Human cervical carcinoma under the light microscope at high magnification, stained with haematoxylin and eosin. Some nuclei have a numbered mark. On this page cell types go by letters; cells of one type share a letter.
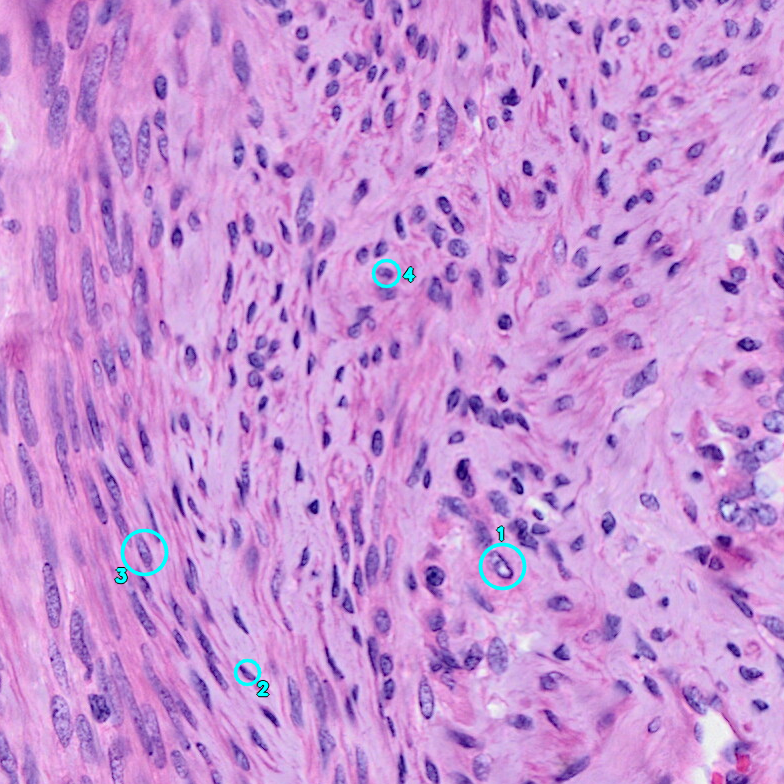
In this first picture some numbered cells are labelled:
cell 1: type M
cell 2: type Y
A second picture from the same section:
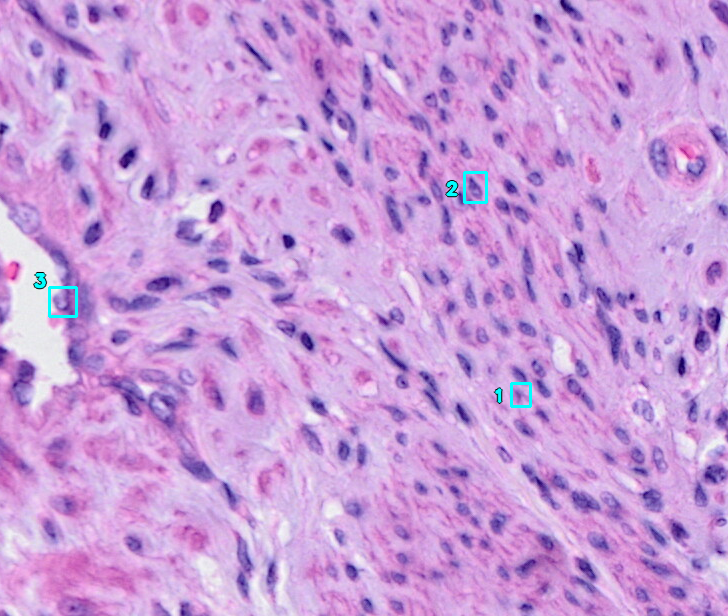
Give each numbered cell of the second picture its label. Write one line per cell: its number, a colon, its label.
1: type Y
2: type Y
3: type M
